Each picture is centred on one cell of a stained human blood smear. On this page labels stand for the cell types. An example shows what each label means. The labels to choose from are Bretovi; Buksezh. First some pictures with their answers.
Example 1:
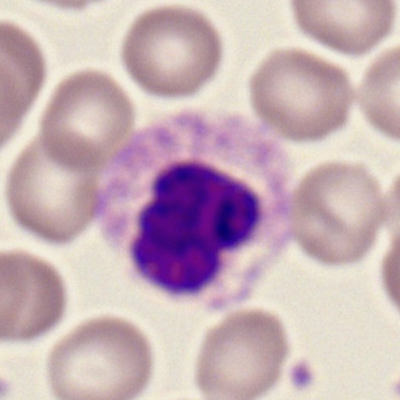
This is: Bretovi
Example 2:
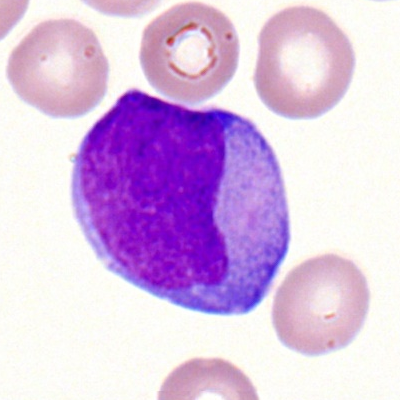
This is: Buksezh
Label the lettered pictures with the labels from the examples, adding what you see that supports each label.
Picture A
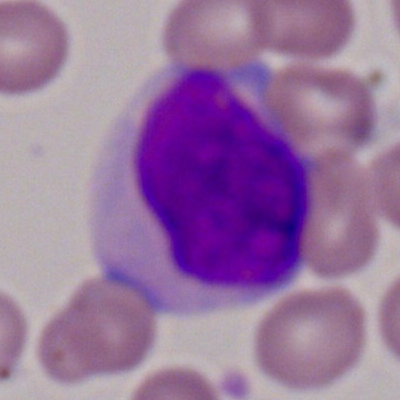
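Buksezh. Reason: The nucleus fills most of the cell and sits off-centre toward the right.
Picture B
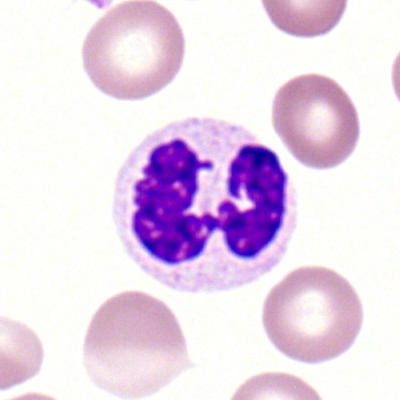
Bretovi. Reason: The nucleus is divided into two large lobes lying side by side.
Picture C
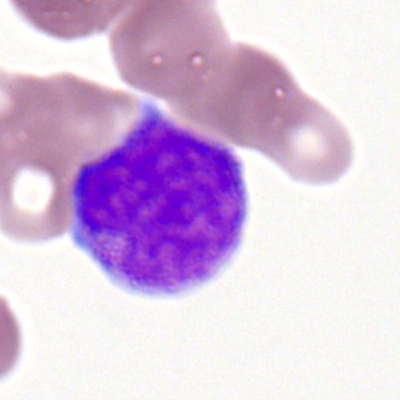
Buksezh. Reason: The cytoplasm is a very thin pale blue rim, seen mostly along the left edge.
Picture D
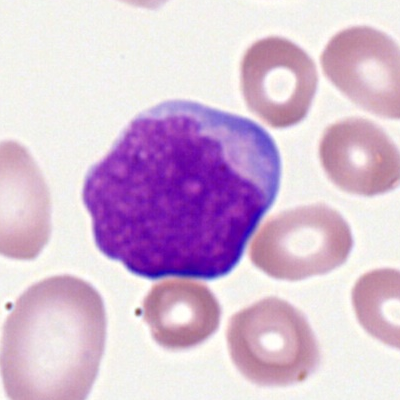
Buksezh. Reason: The nucleus fills most of the cell.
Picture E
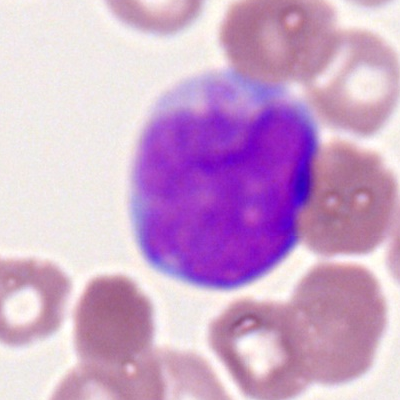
Buksezh. Reason: The nucleus fills almost the whole cell.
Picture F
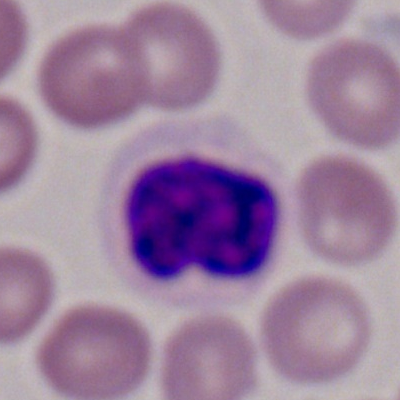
Bretovi. Reason: The cytoplasm is very pale, nearly colourless.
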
